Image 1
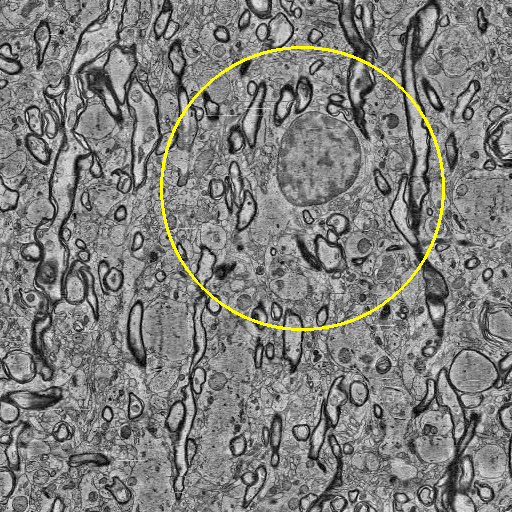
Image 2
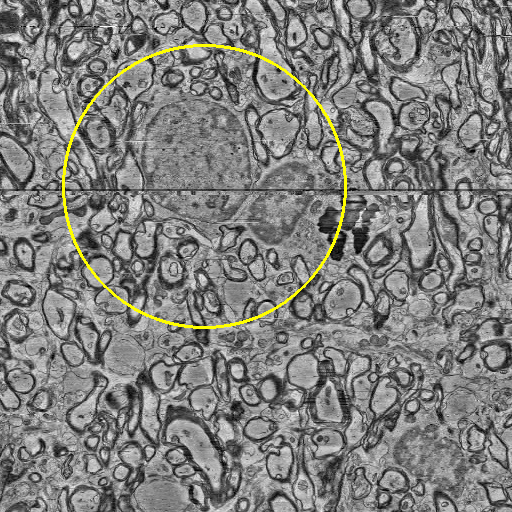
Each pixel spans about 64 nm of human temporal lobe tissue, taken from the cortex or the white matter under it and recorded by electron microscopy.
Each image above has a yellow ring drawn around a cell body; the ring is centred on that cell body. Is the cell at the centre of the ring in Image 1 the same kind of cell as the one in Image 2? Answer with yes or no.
no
